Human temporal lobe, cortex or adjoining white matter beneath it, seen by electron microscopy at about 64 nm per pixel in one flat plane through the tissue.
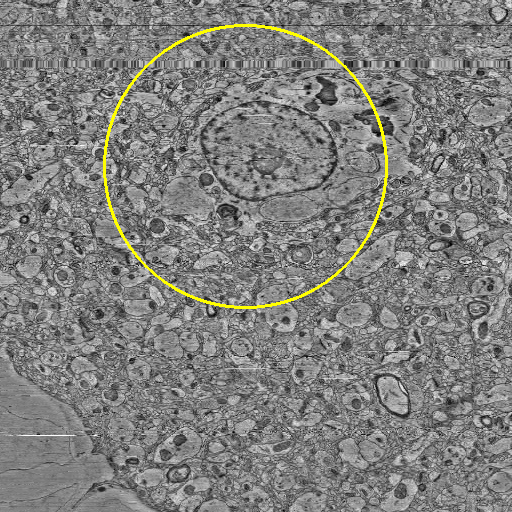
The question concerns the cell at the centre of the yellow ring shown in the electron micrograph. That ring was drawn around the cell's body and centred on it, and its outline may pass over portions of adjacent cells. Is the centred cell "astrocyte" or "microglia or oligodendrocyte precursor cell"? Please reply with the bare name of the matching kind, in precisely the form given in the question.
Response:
astrocyte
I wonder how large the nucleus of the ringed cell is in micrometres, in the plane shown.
In this plane, approximately 9 by 7 micrometers.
